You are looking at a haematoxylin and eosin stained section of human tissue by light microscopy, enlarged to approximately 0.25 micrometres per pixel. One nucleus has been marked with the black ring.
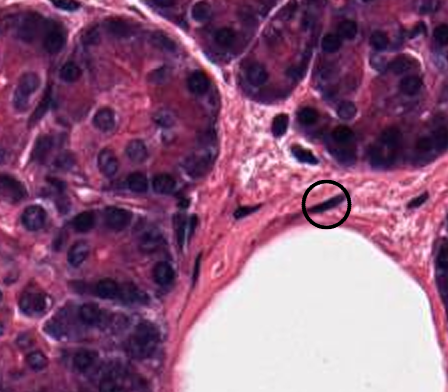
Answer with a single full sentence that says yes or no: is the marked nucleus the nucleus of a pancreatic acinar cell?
No, the marked nucleus belongs to a supporting cell of connective tissue, a vessel or the immune system, not to a pancreatic acinar cell.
